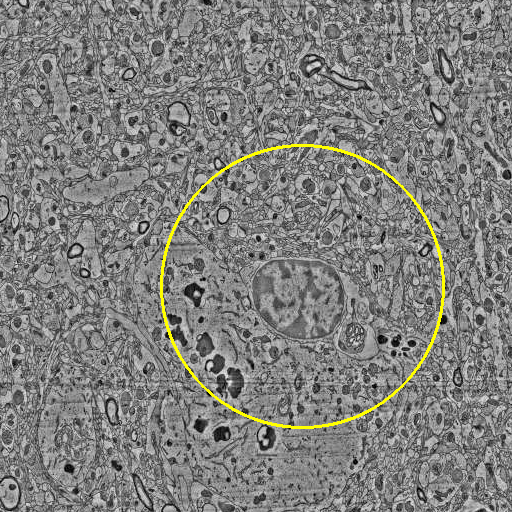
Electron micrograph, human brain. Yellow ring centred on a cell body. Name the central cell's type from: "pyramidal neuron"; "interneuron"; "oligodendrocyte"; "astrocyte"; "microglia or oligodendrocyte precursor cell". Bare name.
microglia or oligodendrocyte precursor cell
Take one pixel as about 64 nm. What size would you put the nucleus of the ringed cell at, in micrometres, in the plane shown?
Roughly 6 by 5 micrometres in this plane, for the nucleus of the ringed cell.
